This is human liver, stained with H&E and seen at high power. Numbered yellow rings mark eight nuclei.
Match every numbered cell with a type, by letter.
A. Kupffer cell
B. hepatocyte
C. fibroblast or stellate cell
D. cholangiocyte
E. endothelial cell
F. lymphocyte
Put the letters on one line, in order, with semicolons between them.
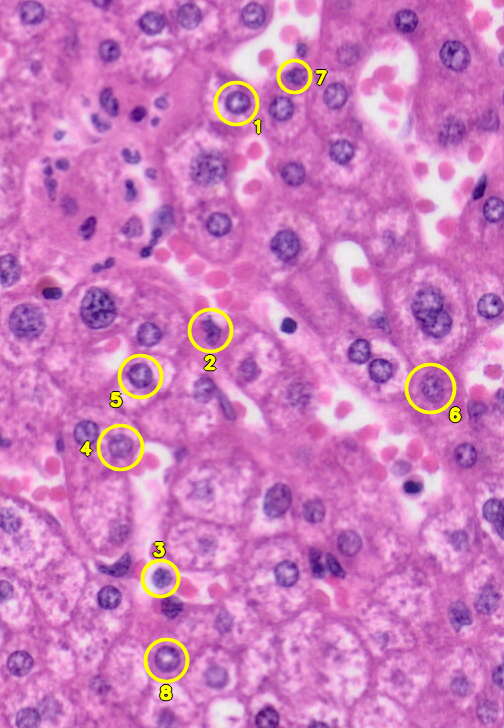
B; E; F; B; B; B; C; B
